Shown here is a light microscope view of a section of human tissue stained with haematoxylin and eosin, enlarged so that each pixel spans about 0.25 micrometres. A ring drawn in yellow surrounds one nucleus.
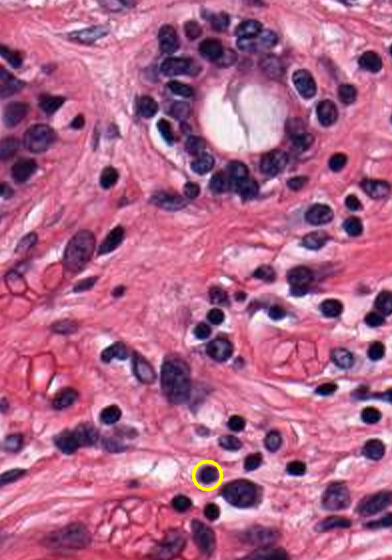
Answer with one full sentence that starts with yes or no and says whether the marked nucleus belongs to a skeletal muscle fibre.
No, a supporting cell rather than a skeletal muscle fibre is the cell of the marked nucleus.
